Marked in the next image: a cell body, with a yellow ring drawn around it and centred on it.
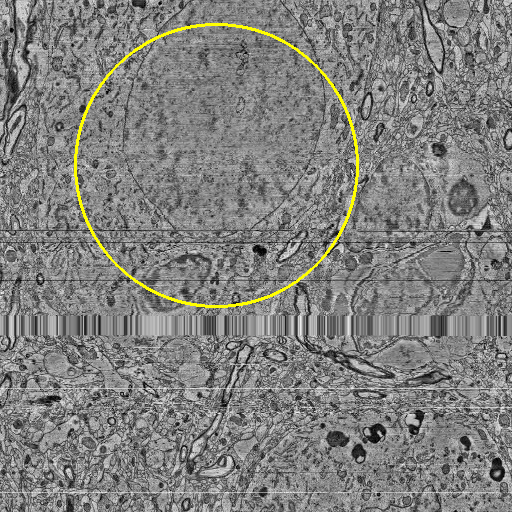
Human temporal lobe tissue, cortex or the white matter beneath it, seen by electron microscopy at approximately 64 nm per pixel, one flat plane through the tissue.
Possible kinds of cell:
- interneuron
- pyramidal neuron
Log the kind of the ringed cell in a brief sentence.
The ringed cell body is that of a pyramidal neuron.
